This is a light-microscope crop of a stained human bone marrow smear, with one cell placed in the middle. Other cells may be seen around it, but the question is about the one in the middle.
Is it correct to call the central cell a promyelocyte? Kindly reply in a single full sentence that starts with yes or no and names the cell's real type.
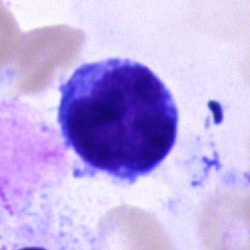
No, the central cell does not count as a promyelocyte; it is a blast.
